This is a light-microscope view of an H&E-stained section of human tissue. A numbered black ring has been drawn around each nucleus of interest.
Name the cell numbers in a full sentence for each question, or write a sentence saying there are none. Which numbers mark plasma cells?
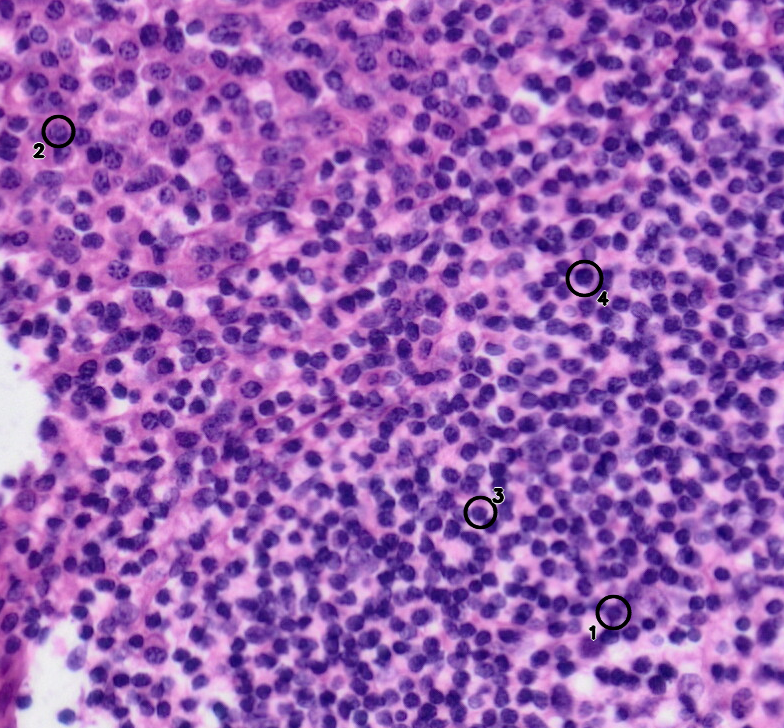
Among the marked cells, a plasma cell is found only at number 2.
